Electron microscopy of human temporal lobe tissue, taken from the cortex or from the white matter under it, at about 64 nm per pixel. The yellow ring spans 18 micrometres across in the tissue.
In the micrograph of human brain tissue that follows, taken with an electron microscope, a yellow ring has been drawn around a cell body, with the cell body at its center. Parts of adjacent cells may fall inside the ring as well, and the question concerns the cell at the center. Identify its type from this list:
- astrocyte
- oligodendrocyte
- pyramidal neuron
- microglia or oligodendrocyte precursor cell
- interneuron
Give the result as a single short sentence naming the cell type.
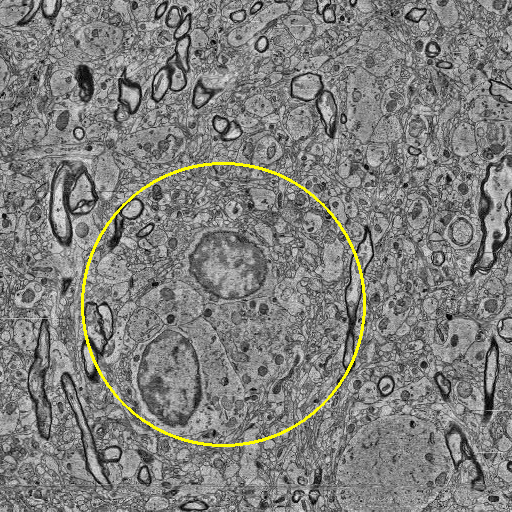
The ring is centered on an oligodendrocyte.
